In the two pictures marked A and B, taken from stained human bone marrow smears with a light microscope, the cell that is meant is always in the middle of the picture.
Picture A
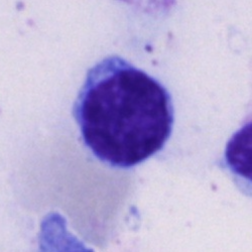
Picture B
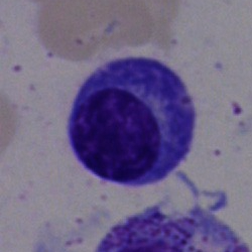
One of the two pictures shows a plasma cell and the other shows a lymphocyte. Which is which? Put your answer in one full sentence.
Picture A shows a lymphocyte and picture B shows a plasma cell.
